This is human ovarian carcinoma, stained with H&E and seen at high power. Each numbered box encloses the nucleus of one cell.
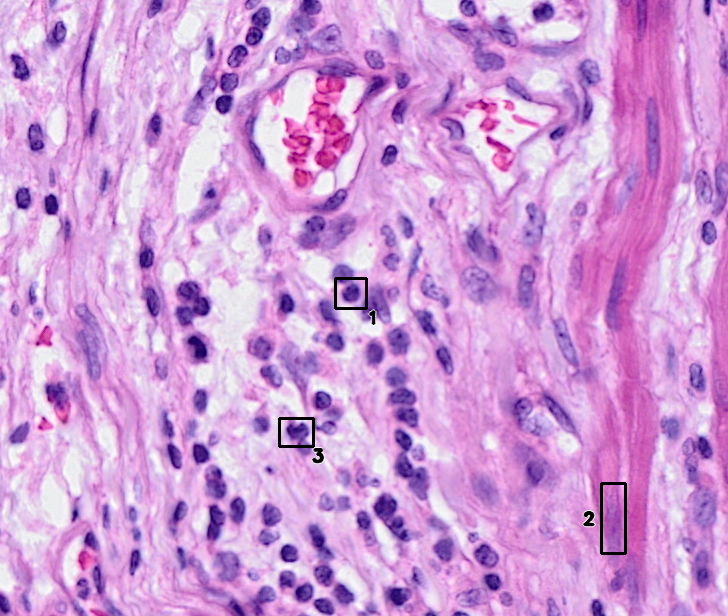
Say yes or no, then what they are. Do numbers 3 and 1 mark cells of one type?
Yes, lymphocytes are what cells 3 and 1 both are.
